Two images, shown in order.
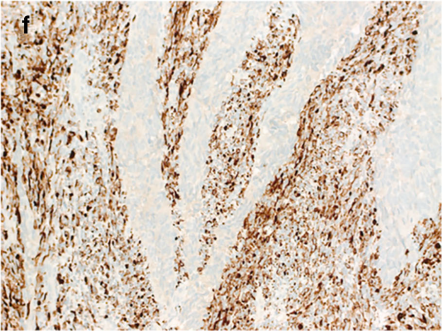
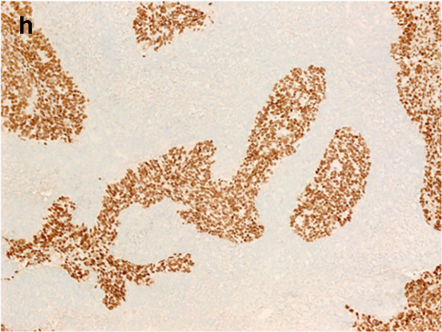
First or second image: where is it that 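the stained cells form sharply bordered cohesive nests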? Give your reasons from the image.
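First image: brown-stained cells are elongated spindles arranged in loose streaming bands.
The second image.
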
